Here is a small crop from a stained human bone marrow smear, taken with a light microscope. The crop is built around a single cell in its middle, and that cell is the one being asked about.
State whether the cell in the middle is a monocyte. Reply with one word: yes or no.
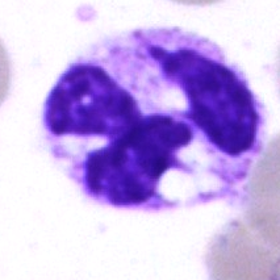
no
